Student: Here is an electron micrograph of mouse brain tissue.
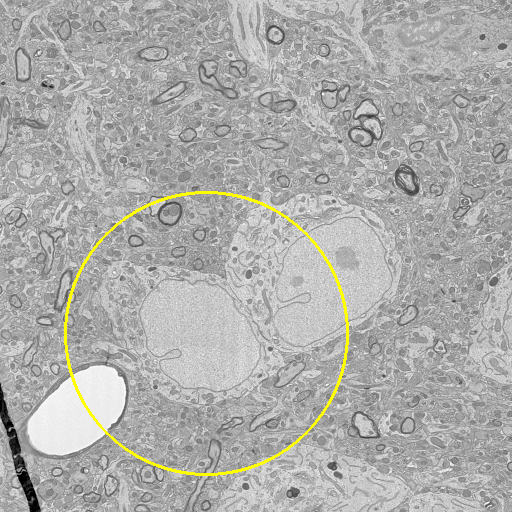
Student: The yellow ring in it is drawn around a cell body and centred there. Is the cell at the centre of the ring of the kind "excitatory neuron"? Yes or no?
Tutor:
yes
